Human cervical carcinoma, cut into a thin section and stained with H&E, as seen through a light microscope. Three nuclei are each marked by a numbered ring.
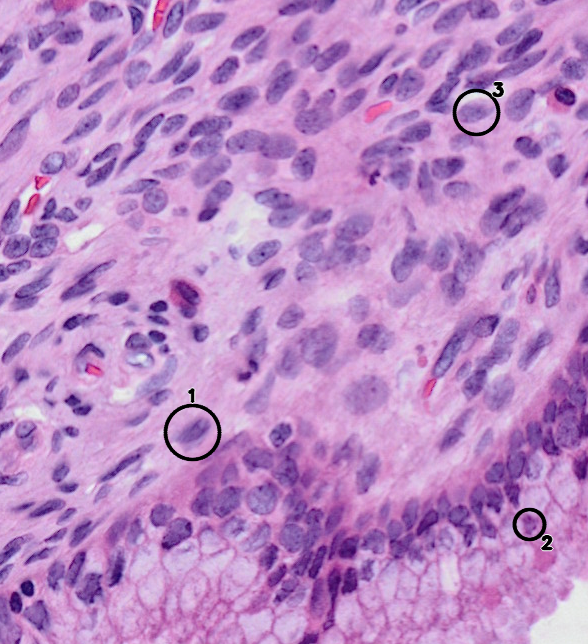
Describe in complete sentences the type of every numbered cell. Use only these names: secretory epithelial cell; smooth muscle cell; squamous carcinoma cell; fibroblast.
Cells 1 and 3 are fibroblasts. Cell 2 is a secretory epithelial cell.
